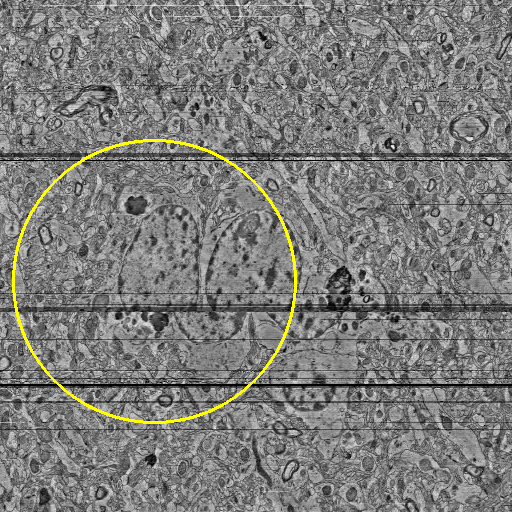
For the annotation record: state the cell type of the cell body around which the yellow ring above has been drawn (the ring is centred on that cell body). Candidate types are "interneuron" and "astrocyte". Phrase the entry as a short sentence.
The ringed cell is an astrocyte.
